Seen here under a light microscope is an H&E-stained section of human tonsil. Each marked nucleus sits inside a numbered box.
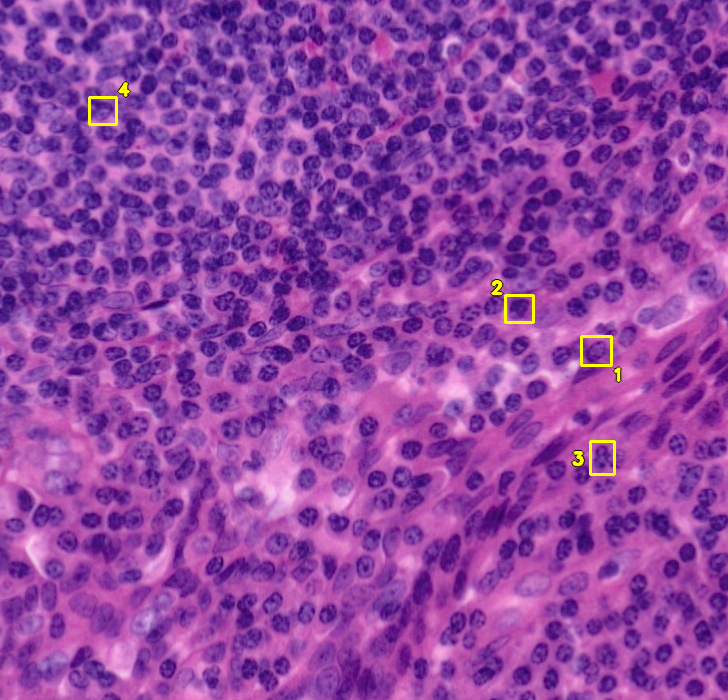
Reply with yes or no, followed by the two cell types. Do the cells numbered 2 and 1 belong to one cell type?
Yes, both are plasma cells.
